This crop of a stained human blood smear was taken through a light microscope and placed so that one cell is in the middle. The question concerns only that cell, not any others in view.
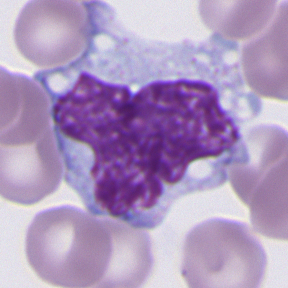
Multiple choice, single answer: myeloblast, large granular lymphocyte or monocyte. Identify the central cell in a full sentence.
Centrally within this crop lies a monocyte.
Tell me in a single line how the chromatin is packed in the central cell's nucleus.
No coarse chromatin clumps are present; the pattern is fine.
